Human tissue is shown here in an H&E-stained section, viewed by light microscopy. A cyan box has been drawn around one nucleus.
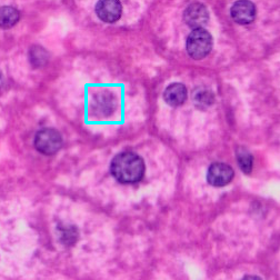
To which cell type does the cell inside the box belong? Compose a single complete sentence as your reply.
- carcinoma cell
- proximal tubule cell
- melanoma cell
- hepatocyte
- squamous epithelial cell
In this preparation, the cell inside the box is a hepatocyte.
